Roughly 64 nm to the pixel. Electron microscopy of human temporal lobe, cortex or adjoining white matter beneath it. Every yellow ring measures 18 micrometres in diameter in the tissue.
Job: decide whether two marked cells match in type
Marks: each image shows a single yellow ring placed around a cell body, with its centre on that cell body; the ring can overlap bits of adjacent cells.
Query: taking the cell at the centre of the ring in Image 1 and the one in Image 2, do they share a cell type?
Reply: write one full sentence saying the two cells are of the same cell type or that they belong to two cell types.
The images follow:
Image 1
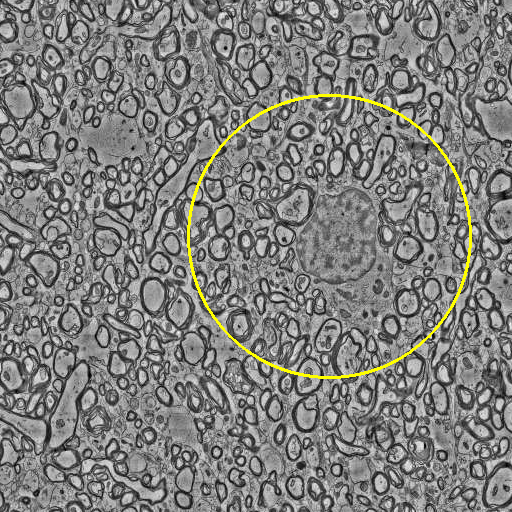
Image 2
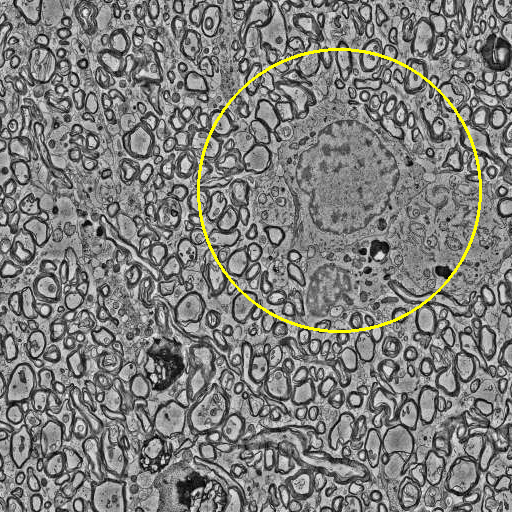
The cells at the ring centres in Image 1 and Image 2 are of the same cell type.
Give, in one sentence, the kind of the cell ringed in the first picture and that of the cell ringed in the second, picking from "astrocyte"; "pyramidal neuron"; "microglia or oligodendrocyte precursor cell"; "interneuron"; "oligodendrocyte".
The cell in the first picture is an oligodendrocyte, and so is the one in the second.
